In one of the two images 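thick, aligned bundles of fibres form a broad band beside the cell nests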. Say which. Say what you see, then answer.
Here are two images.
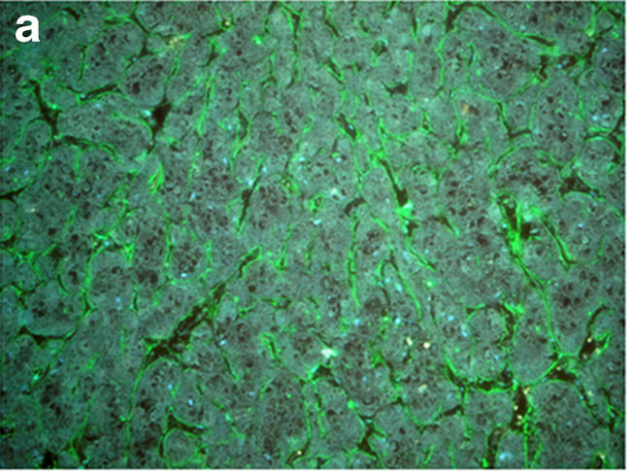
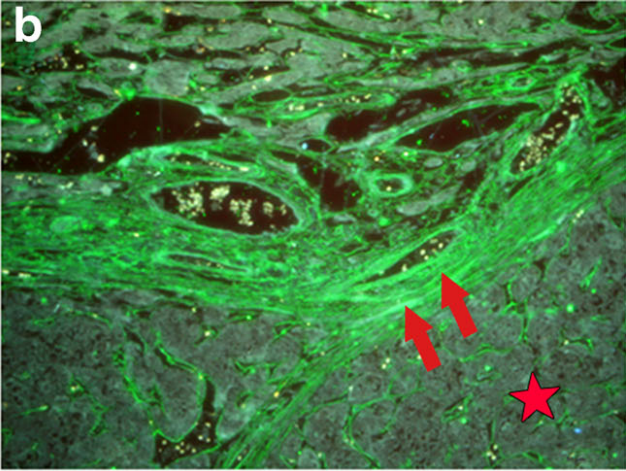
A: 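Second image: a broad diagonal band of dense, parallel bright green fibres runs past the cell nests. First image: only thin, scattered green lines outline small nests throughout the field, with no broad fibrous band. On this evidence: the second image.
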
